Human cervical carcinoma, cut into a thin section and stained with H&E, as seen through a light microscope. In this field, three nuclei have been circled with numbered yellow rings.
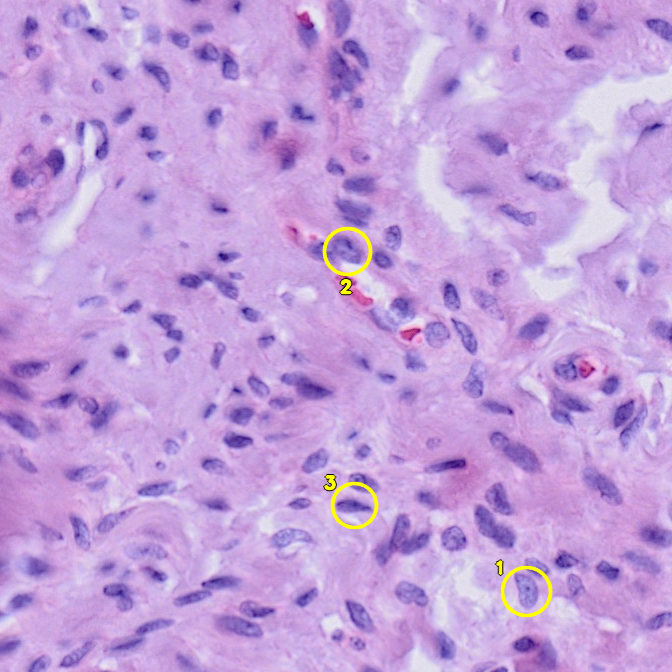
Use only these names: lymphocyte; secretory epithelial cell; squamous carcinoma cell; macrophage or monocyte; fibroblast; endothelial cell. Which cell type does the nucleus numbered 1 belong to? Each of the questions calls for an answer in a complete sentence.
Recognised here as a fibroblast is the cell numbered 1.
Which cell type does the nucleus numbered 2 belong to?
Cell 2 is classified as an endothelial cell.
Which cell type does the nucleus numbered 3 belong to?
The nucleus marked 3 is the nucleus of a fibroblast.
